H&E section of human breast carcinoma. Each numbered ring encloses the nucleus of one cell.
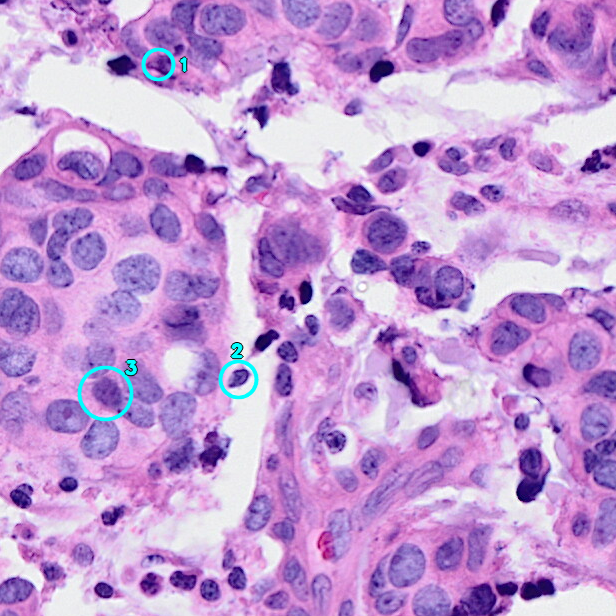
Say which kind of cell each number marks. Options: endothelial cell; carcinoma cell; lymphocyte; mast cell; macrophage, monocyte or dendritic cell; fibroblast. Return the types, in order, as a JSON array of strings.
["carcinoma cell", "lymphocyte", "carcinoma cell"]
